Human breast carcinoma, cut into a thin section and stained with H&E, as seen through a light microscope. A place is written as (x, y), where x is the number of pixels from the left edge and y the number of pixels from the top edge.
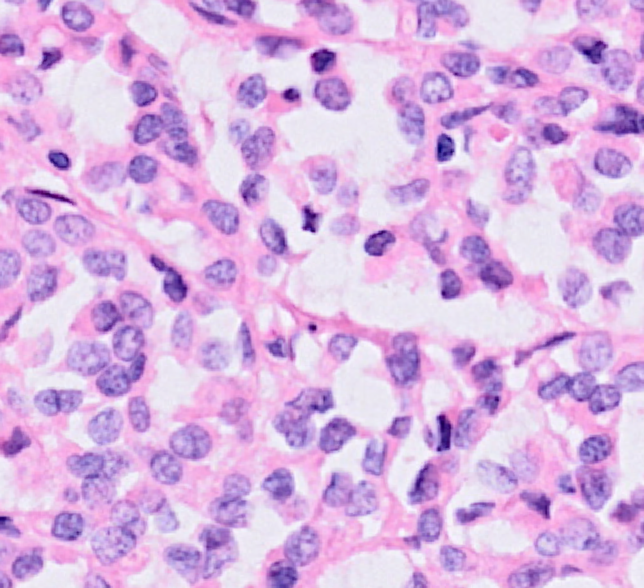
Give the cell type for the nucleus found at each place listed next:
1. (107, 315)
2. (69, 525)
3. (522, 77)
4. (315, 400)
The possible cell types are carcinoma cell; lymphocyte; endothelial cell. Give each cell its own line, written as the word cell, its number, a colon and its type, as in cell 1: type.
cell 1: carcinoma cell
cell 2: carcinoma cell
cell 3: endothelial cell
cell 4: carcinoma cell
